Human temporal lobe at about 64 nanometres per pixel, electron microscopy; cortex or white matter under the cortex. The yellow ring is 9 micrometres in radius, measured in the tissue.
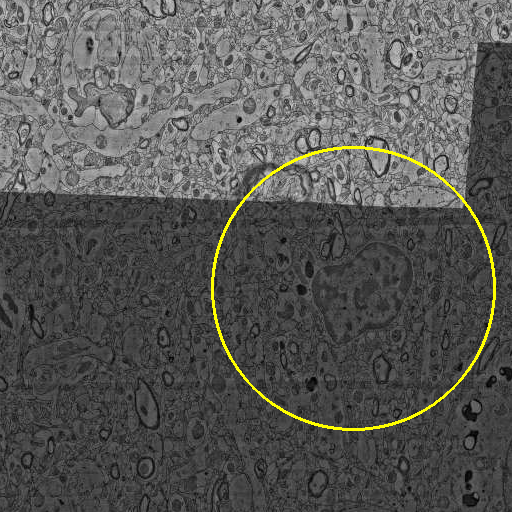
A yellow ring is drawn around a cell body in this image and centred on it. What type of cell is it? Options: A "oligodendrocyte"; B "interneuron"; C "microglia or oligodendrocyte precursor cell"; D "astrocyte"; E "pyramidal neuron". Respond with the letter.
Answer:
C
